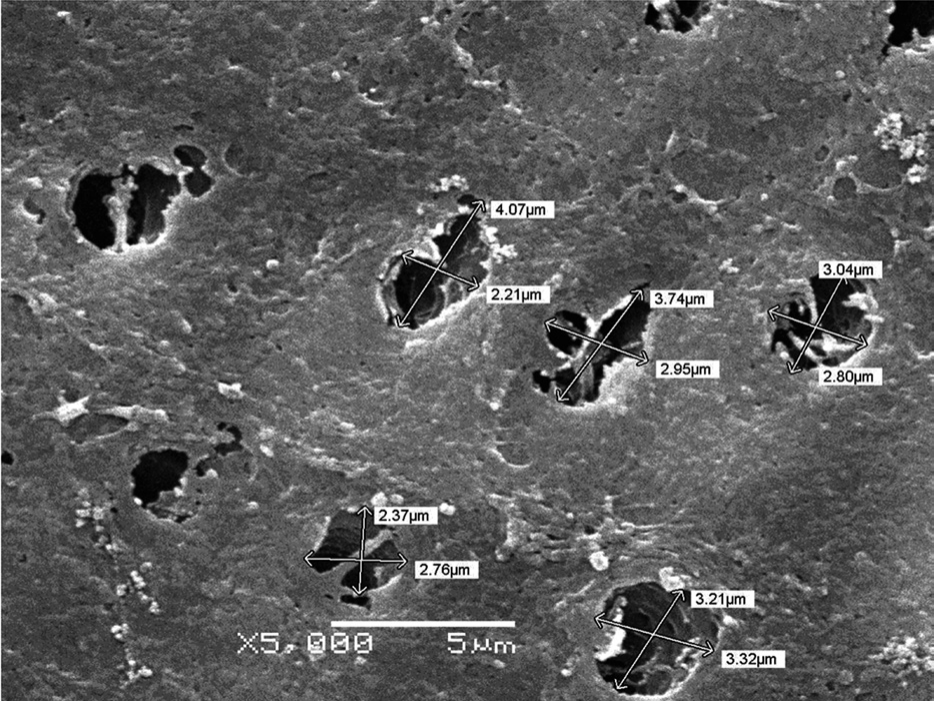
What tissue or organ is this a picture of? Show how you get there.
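A hard, finely textured surface is pierced by scattered round openings a few micrometres wide.
Dentine.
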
